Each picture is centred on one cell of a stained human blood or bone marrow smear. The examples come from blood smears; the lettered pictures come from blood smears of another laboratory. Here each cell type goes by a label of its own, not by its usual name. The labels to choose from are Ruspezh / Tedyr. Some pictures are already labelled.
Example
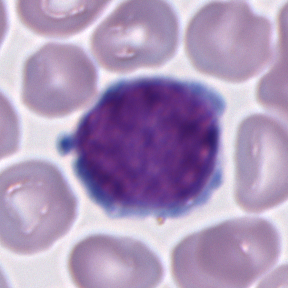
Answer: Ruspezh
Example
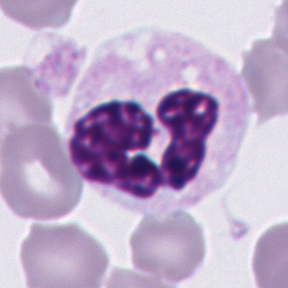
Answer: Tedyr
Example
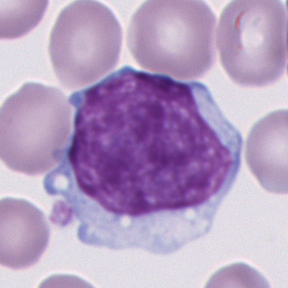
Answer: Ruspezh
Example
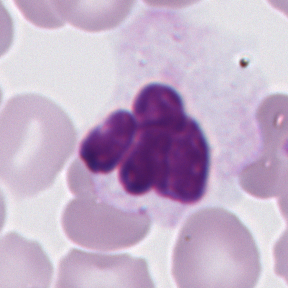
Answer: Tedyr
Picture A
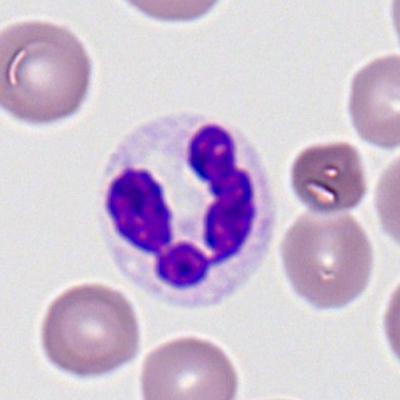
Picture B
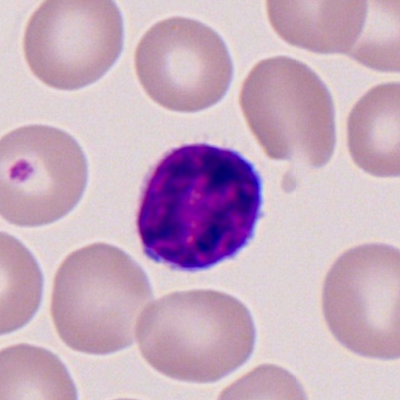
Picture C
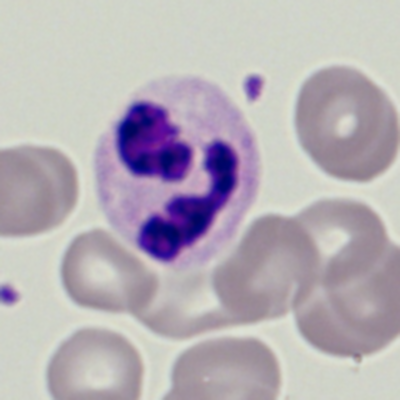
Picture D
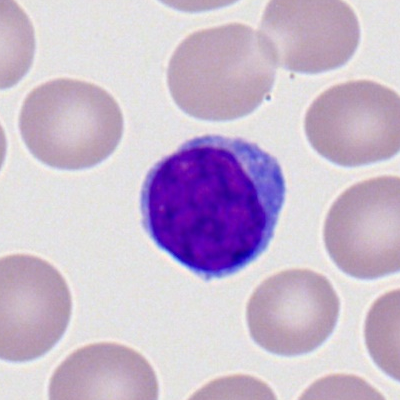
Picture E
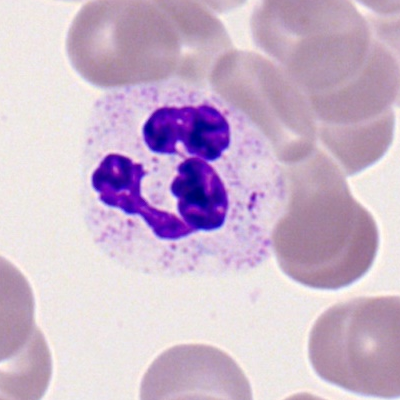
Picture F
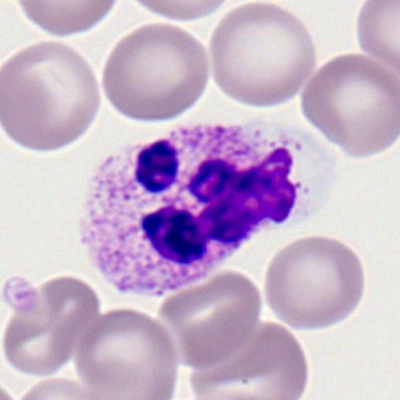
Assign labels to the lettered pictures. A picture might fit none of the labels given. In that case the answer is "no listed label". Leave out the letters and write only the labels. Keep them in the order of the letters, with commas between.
Tedyr, no listed label, Tedyr, no listed label, Tedyr, Tedyr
